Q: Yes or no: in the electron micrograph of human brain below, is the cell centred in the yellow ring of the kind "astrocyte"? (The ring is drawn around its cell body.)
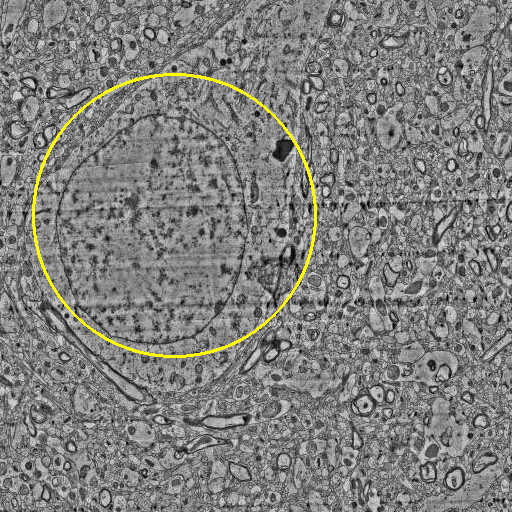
no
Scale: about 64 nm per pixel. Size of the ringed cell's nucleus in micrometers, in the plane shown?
About 15 by 12 micrometers, in this plane.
